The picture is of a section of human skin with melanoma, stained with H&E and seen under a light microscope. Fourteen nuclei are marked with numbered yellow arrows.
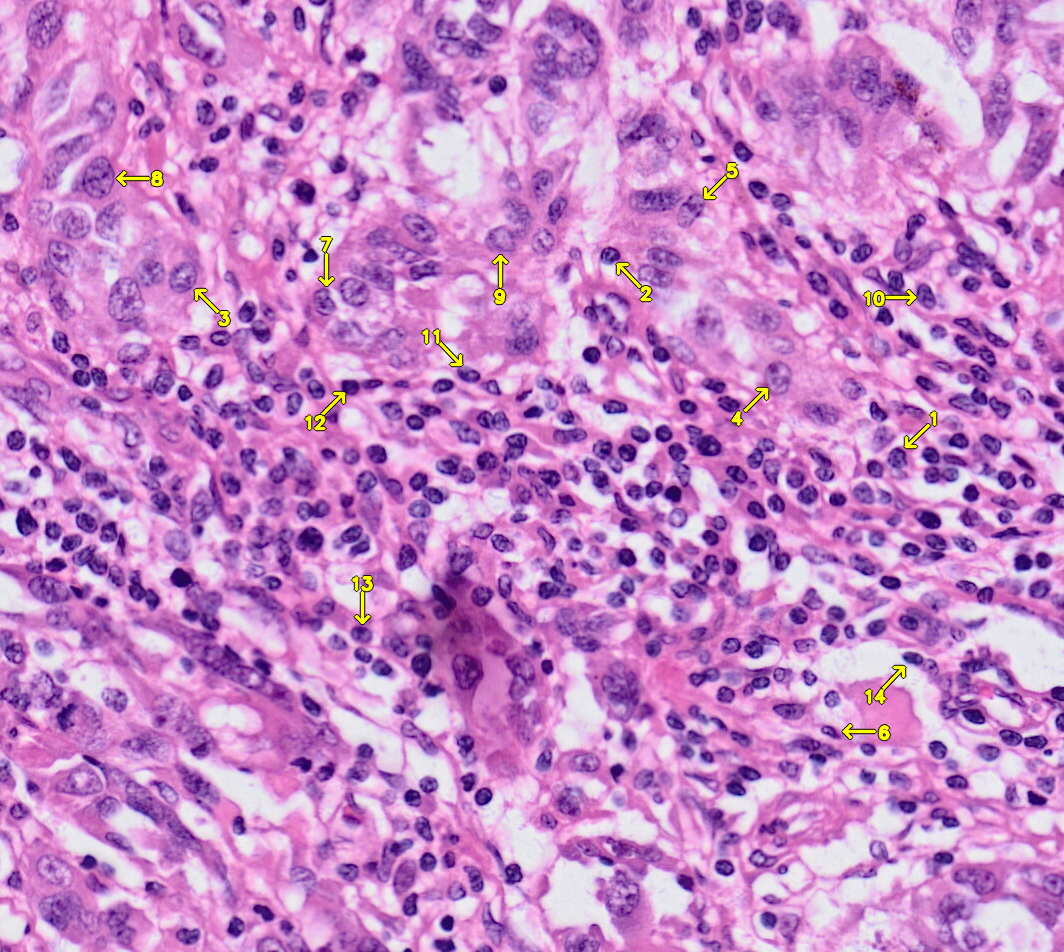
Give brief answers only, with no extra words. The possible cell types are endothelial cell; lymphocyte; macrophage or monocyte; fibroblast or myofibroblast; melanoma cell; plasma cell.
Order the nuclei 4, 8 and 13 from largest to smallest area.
8, 4, 13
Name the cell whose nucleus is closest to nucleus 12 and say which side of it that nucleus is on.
a macrophage or monocyte, to the right of nucleus 12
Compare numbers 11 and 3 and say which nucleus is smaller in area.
11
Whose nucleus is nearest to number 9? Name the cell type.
melanoma cell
